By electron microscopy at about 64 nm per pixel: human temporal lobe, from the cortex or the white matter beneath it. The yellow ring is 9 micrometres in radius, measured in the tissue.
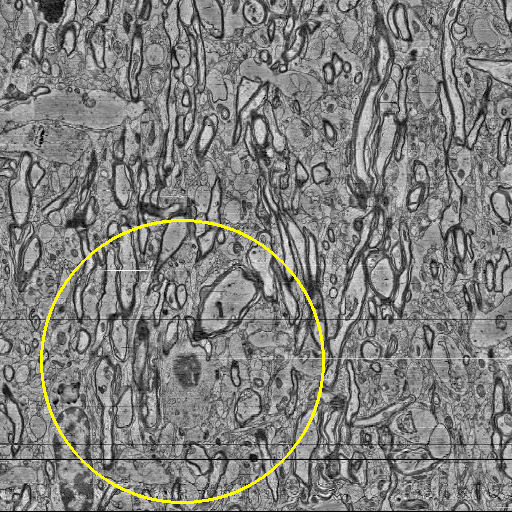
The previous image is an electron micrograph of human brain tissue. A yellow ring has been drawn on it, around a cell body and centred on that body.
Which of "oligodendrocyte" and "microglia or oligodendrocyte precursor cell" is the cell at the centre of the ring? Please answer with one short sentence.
The cell body at the centre of the ring belongs to an oligodendrocyte.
